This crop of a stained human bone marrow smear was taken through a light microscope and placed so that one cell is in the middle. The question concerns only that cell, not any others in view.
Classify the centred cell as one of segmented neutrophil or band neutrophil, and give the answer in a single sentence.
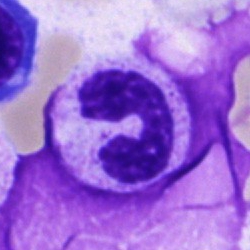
At the crop's centre, the cell is a band neutrophil.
